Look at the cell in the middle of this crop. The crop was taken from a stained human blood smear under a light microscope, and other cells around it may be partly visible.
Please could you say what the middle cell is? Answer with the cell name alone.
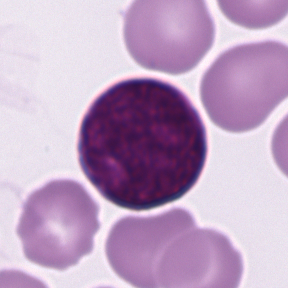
myeloblast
